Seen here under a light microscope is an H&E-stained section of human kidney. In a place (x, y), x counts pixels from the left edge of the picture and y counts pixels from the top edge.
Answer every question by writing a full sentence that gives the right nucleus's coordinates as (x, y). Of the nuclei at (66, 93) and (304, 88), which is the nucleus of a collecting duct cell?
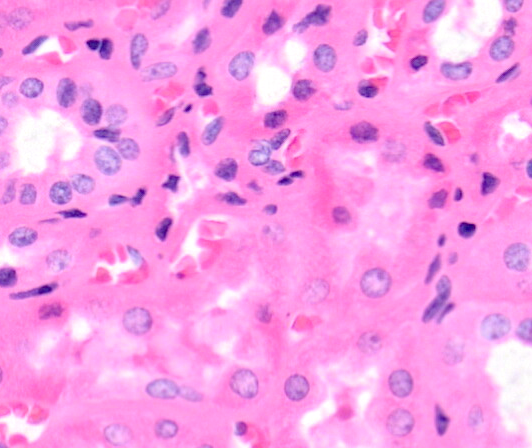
The nucleus that belongs to a collecting duct cell sits at (66, 93).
